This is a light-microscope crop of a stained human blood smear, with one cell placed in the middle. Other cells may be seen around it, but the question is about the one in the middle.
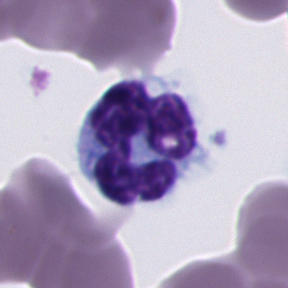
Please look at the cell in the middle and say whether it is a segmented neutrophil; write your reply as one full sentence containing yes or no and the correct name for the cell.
No, the cell at the centre is identified as a monocyte, not as a segmented neutrophil.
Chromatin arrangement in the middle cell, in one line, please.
What stands out is chromatin that is coarsely clumped.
